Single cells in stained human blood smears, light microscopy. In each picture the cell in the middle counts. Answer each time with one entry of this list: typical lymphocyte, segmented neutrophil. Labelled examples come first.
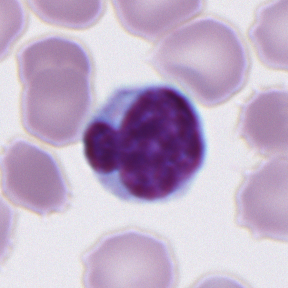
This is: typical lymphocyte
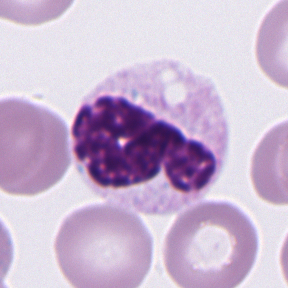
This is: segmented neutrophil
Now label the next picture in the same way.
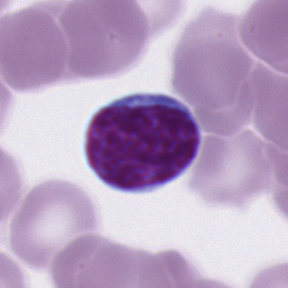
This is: typical lymphocyte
